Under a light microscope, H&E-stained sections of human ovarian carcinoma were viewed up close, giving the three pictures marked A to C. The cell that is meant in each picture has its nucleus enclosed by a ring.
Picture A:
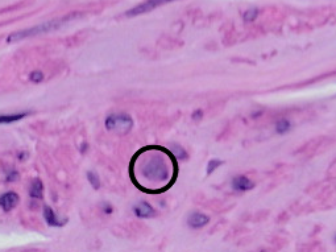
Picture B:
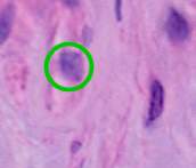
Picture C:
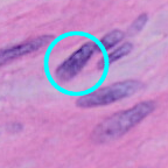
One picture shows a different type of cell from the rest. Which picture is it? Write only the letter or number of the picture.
B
